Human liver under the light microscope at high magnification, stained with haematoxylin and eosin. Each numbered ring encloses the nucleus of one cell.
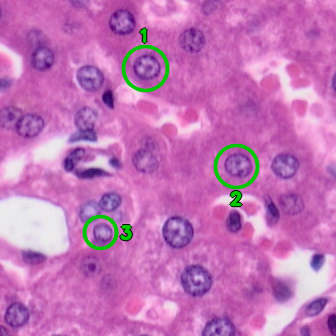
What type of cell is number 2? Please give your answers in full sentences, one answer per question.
As for number 2, that cell is a hepatocyte.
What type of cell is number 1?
Here, the cell given the number 1 is a hepatocyte.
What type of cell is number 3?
The numbered cell 3 is identified here as a cholangiocyte.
